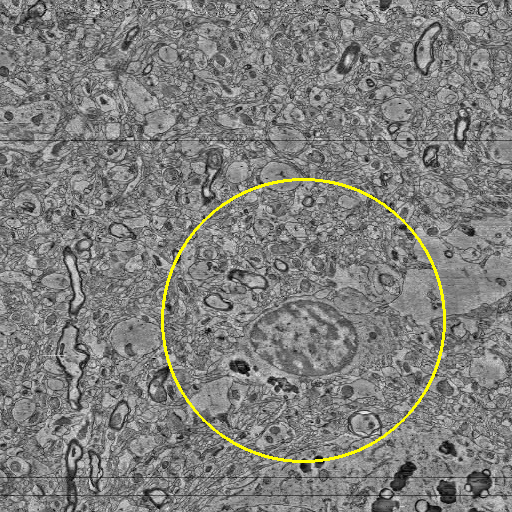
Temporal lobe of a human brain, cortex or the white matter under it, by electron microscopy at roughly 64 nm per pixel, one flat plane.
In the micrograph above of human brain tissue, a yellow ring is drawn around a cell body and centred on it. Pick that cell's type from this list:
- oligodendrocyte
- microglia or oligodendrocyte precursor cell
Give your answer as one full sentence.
Going by the list, an oligodendrocyte is the cell on which the yellow ring is centred.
